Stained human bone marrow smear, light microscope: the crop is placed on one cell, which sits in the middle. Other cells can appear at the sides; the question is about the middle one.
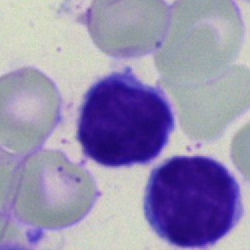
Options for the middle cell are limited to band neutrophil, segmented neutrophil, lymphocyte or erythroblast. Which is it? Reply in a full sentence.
The cell under consideration, at the middle of the crop, is a lymphocyte.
